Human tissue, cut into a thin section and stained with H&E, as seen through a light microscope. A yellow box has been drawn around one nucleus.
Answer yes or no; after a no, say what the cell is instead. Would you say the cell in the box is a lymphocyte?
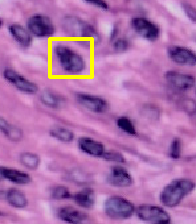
Yes.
